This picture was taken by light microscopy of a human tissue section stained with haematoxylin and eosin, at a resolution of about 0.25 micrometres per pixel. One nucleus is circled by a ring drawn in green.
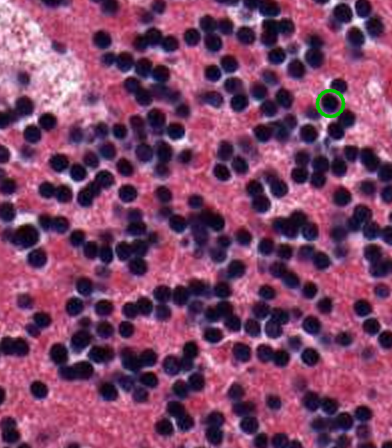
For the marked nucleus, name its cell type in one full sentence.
The marked nucleus is contained in a cerebellar granule cell.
